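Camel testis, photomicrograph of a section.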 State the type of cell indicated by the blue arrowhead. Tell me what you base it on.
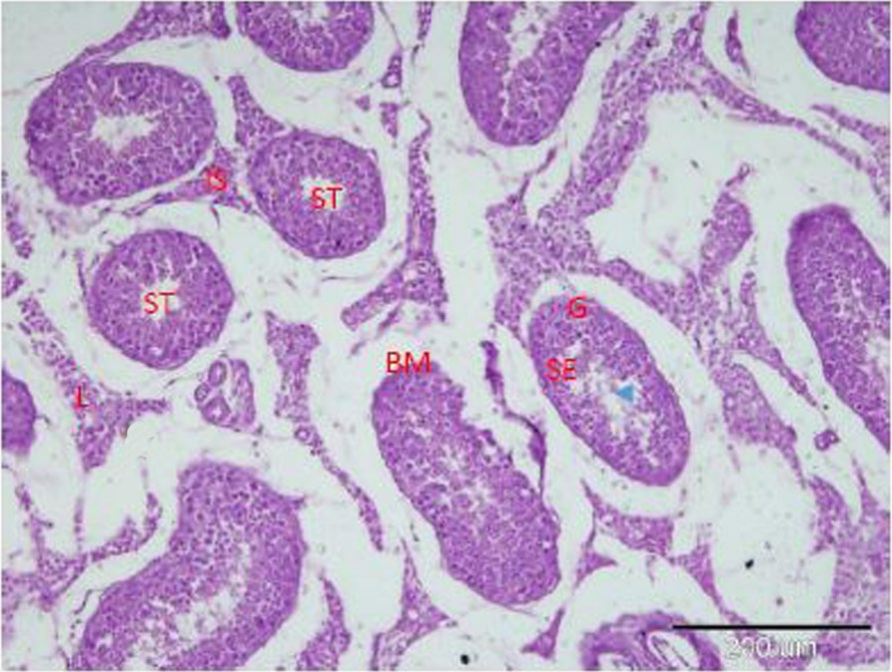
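The blue arrowhead points into the pale central lumen of a tubule. The lumen holds loose, pale material separate from the packed epithelial cells around it. That points to this answer: Sperms.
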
